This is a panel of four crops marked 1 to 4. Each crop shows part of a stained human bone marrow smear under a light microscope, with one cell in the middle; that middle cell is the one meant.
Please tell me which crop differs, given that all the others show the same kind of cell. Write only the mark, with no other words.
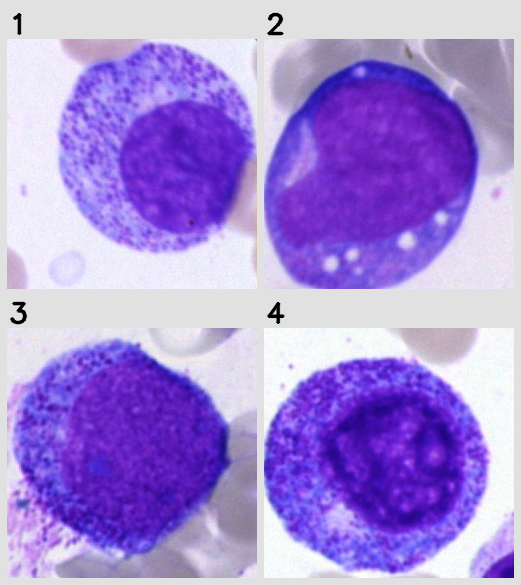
2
